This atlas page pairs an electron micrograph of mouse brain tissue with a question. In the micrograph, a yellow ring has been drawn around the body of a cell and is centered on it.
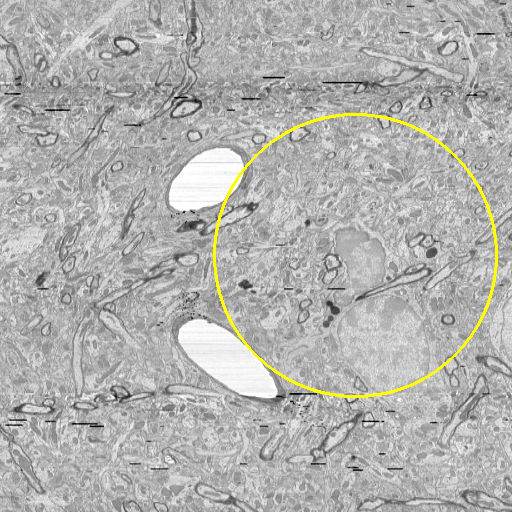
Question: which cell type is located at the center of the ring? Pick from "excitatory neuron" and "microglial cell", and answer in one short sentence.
Located at the center of the ring is a microglial cell.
